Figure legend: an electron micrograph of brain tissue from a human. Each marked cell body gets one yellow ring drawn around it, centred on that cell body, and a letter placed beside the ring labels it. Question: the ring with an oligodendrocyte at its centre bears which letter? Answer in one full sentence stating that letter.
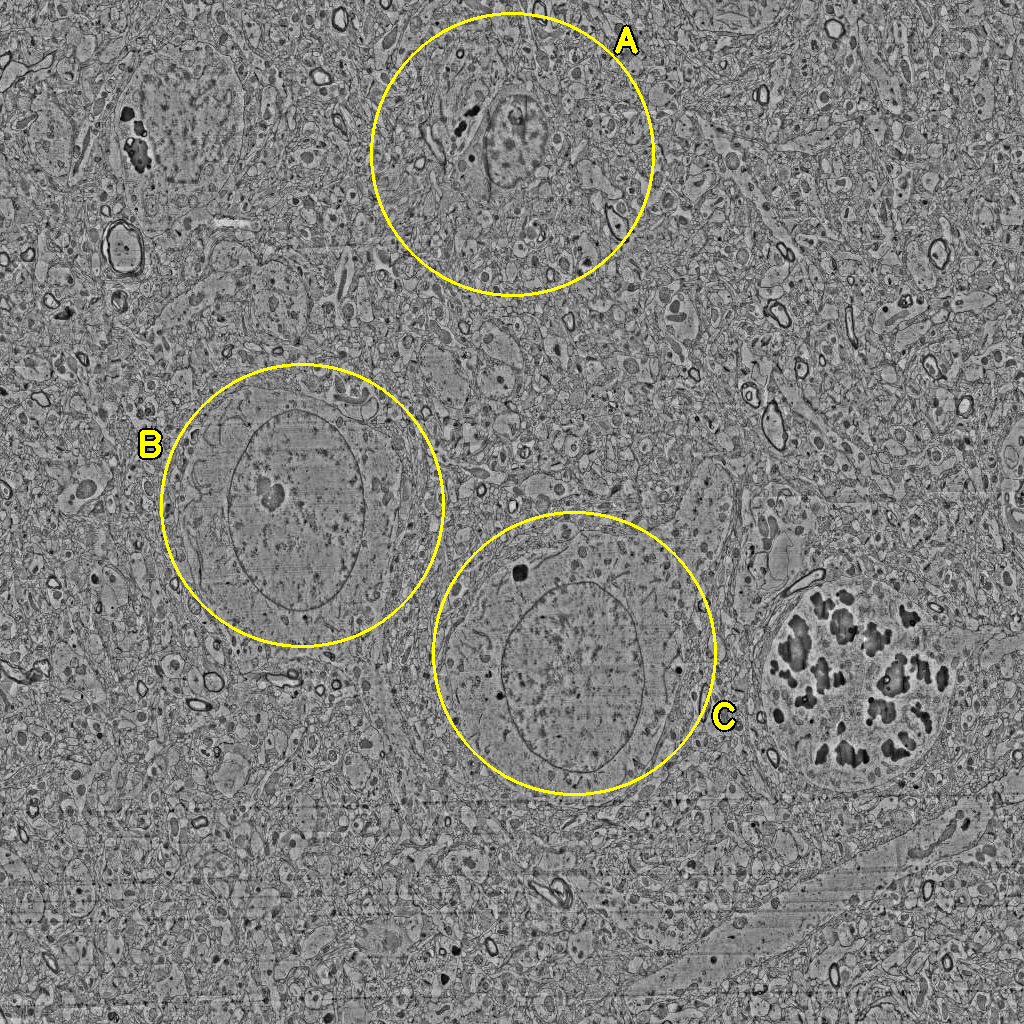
Labelled A is the ring whose centre holds the cell asked for in this picture.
